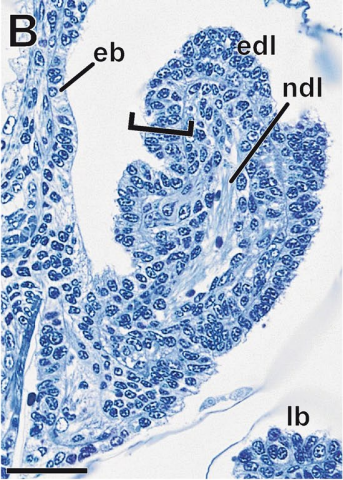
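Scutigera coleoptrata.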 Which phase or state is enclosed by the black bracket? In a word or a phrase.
multilayered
